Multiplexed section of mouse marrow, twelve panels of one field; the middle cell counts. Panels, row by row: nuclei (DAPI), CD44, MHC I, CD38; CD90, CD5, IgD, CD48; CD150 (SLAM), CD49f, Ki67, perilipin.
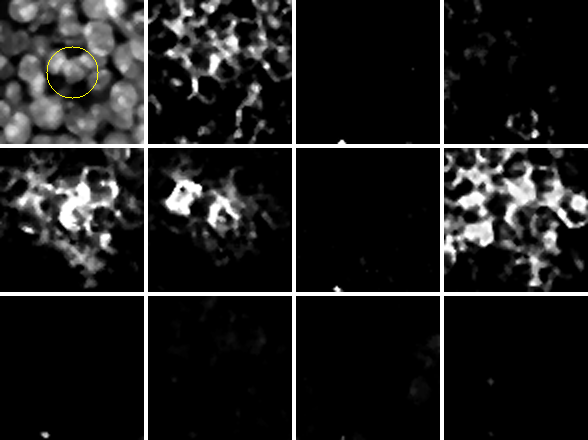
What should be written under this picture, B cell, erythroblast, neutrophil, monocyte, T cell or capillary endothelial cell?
T cell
